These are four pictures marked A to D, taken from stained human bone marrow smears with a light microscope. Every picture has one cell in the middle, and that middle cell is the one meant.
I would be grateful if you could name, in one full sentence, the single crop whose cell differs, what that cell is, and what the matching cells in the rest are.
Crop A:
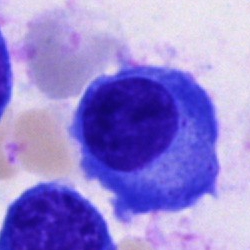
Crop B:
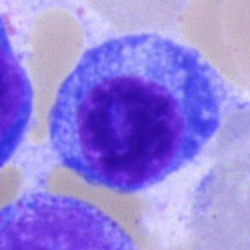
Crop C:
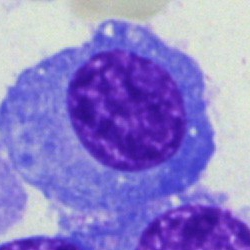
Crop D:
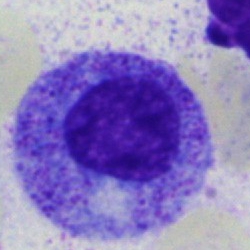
All the crops contain plasma cells save crop D, where there is a myelocyte.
